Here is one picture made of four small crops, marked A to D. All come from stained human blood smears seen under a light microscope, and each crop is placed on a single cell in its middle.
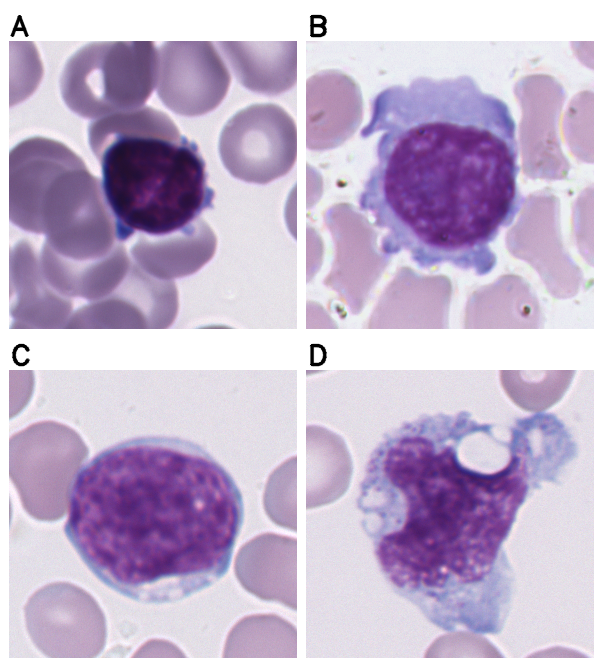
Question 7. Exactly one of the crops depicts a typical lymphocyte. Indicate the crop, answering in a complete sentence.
Only in crop A is a typical lymphocyte shown.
